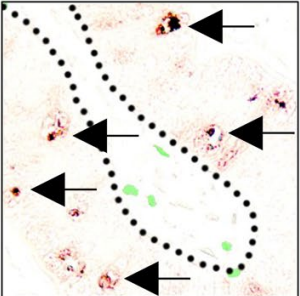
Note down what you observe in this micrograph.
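Several scattered cells show dark brown, clumped and fragmented nuclear stain, the look of dying cells. The rest of the tissue is pale beige with faint cell outlines, and no large groups of labelled cells are present.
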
